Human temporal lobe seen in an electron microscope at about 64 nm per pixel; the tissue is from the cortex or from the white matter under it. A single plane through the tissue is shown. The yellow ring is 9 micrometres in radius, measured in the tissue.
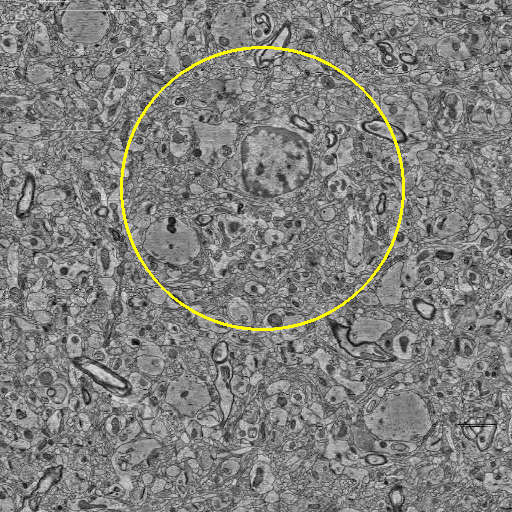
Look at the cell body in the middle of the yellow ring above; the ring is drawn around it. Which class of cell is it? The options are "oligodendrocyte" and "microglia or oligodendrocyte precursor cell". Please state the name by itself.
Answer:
microglia or oligodendrocyte precursor cell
